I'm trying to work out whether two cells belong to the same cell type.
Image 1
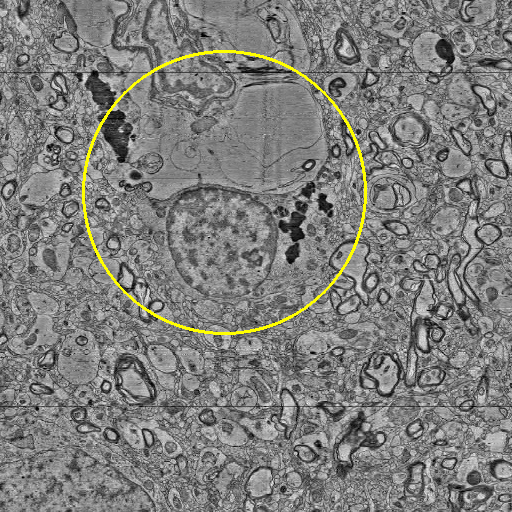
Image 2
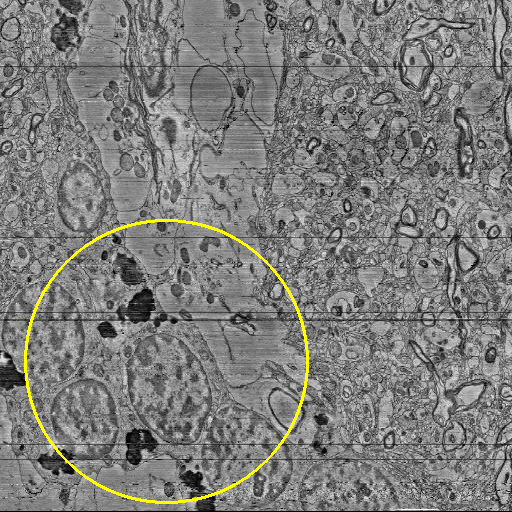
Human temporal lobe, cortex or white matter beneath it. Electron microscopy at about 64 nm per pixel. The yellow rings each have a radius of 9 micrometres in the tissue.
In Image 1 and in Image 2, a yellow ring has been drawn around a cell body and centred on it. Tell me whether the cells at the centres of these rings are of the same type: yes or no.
yes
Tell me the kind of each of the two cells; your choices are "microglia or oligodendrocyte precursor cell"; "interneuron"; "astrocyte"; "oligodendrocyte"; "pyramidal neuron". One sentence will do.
Each of the two pictures has an oligodendrocyte at the ring centre.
